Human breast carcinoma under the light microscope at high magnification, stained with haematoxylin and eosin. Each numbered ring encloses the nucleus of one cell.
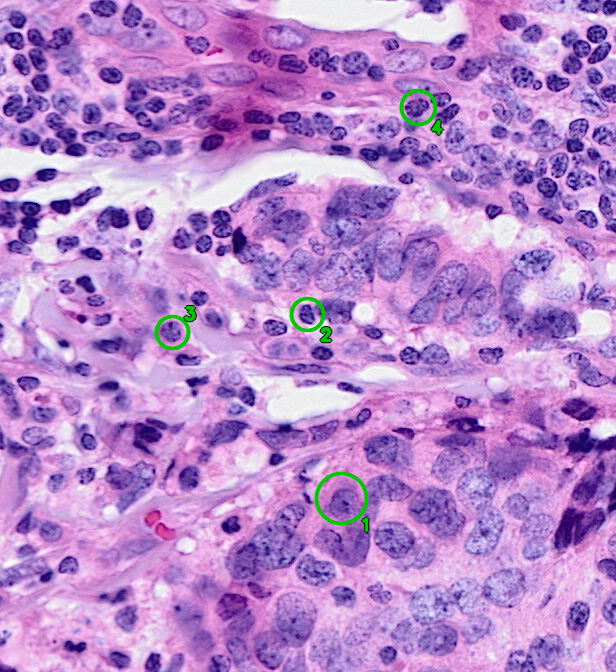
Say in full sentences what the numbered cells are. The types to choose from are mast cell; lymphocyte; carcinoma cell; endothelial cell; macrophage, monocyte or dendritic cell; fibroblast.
Cell 1 is a carcinoma cell, cell 2 is a lymphocyte, cell 3 is a mast cell and cell 4 is a lymphocyte.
